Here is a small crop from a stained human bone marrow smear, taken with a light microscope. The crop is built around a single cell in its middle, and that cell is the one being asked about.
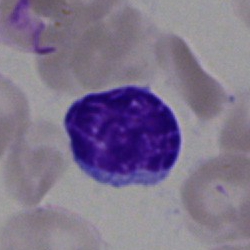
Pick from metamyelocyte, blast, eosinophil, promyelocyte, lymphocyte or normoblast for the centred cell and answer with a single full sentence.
The centrally placed cell is classified as a lymphocyte.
